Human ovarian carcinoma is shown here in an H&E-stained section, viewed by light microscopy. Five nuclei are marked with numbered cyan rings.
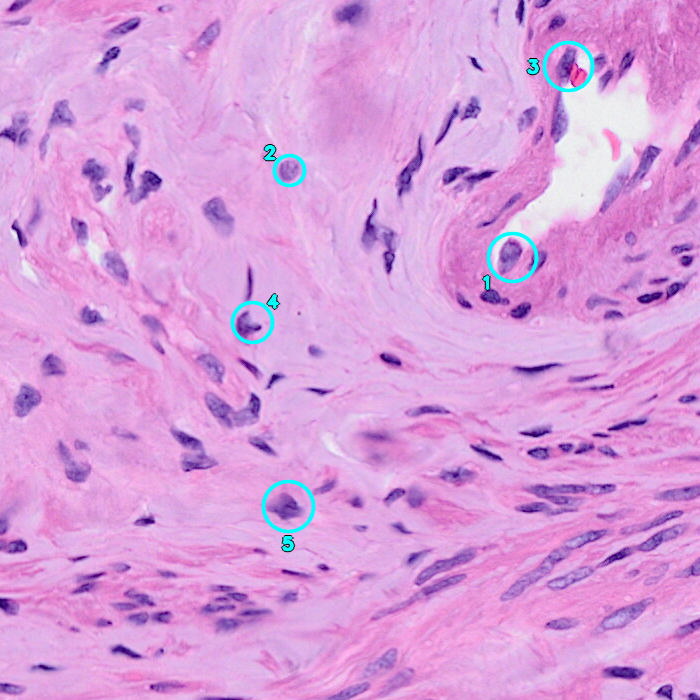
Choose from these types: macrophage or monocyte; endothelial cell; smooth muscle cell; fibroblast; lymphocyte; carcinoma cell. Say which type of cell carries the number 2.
fibroblast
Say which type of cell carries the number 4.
fibroblast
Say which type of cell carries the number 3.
endothelial cell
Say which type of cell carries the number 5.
fibroblast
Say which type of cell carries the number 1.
endothelial cell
